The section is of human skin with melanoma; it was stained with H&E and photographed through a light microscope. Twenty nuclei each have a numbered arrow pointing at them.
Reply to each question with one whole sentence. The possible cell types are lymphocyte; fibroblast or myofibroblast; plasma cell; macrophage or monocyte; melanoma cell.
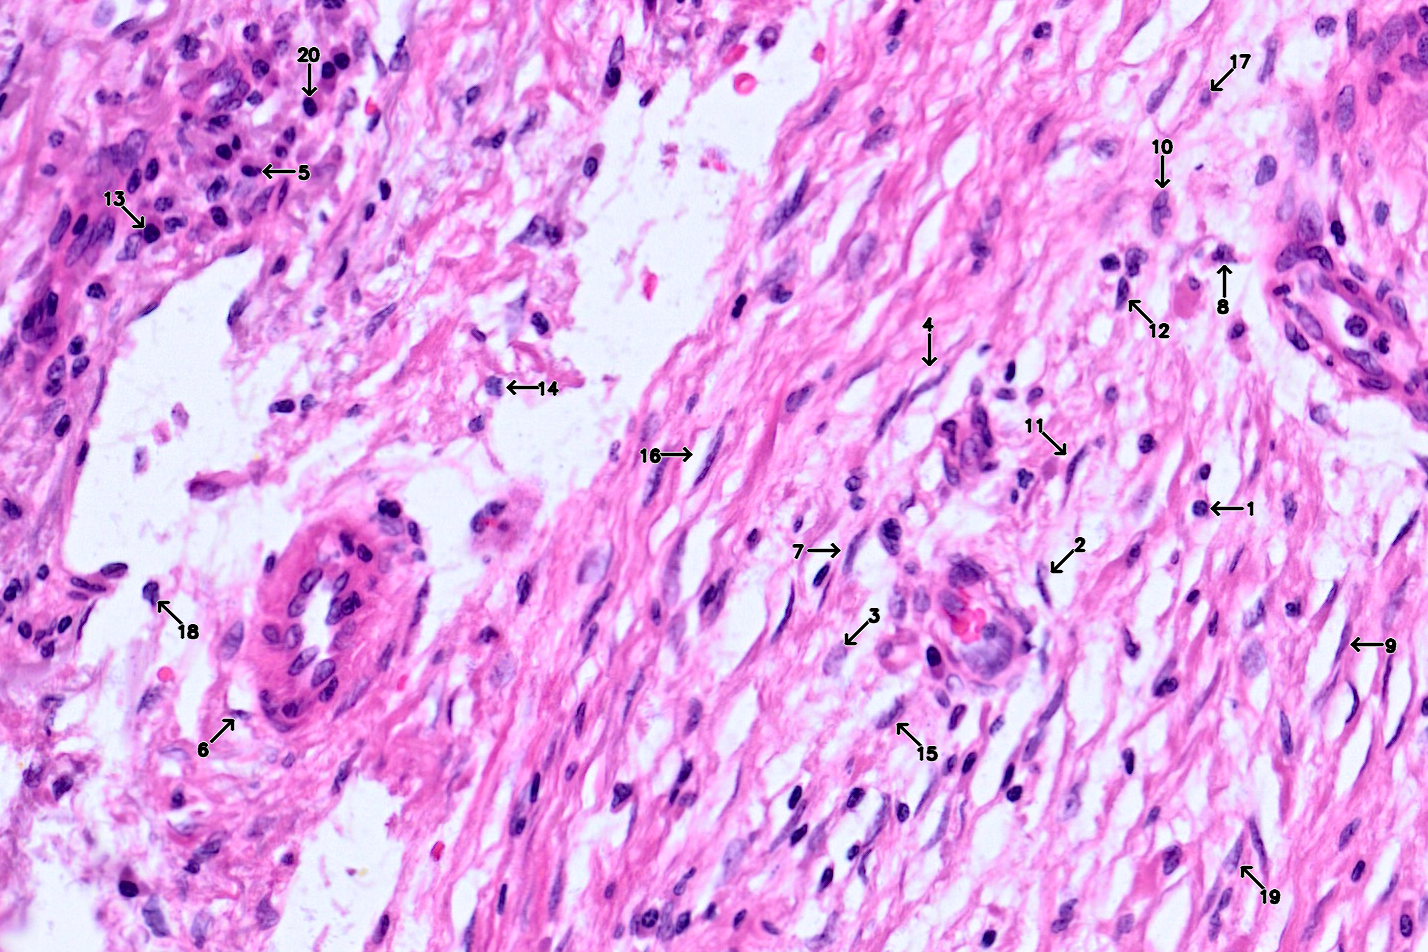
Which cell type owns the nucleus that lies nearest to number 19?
Number 19 lies closest to the nucleus of a fibroblast or myofibroblast.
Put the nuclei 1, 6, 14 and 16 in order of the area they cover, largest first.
By area, largest first, they run 16, 14, 1, 6.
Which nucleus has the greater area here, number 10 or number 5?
Number 10 is larger; its area is about 2 times that of number 5.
